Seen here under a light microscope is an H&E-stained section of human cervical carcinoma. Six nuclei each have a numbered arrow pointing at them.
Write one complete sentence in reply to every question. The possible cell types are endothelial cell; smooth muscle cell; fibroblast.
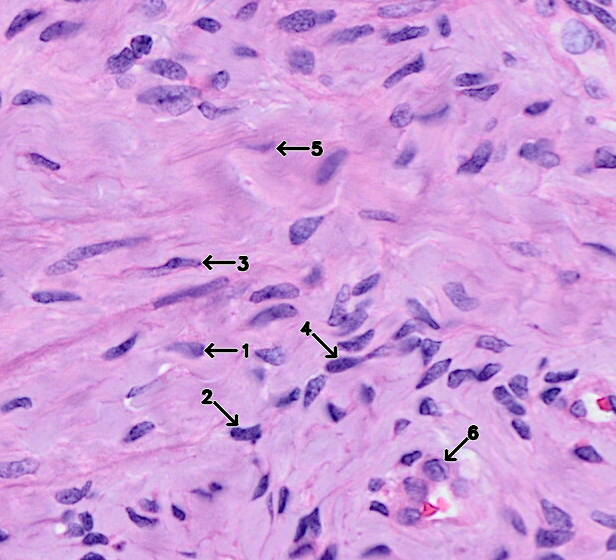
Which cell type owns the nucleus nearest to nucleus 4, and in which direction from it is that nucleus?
It is a fibroblast, whose nucleus lies above and to the right of nucleus 4.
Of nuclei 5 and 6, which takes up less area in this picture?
Nucleus 5 covers less area, with nucleus 6 about 1.5 times as large.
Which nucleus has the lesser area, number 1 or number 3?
It is nucleus 3; nucleus 1 has about 1.5 times its area.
